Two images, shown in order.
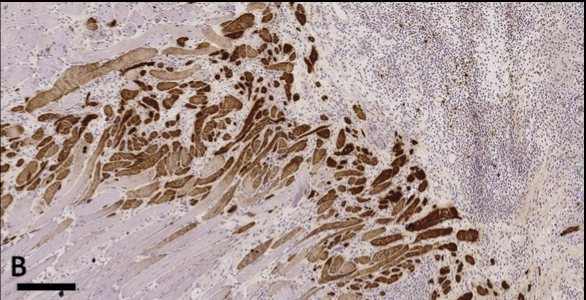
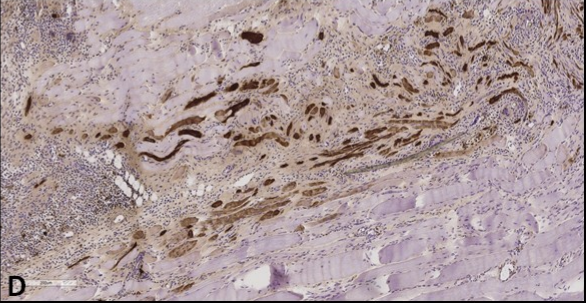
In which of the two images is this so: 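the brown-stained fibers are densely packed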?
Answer: the first image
